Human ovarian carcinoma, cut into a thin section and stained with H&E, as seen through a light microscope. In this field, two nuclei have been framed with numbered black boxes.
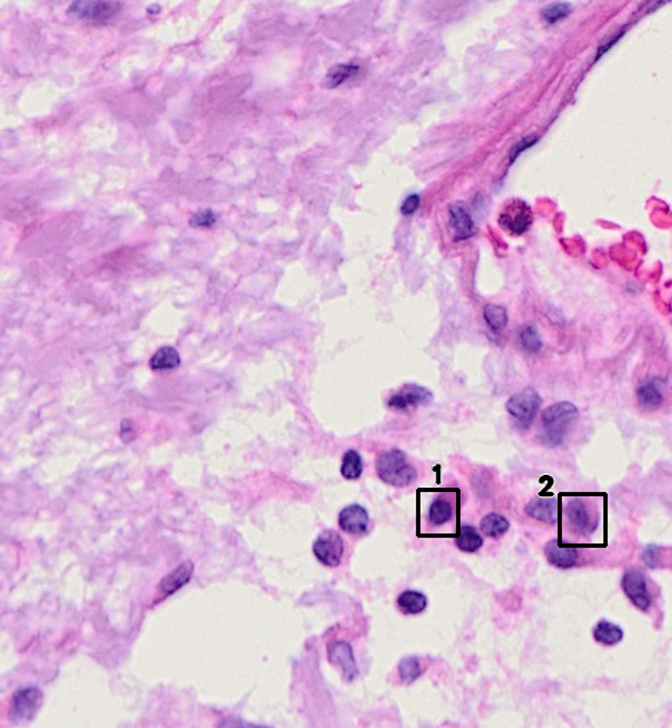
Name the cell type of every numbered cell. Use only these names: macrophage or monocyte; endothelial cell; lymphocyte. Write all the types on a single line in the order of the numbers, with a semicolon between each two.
lymphocyte; macrophage or monocyte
